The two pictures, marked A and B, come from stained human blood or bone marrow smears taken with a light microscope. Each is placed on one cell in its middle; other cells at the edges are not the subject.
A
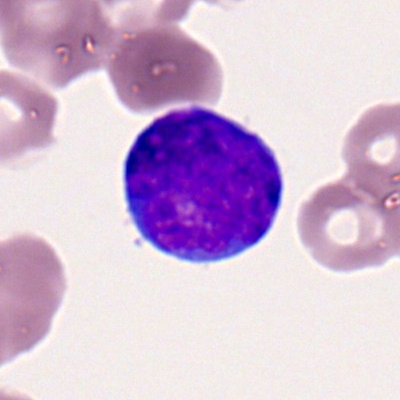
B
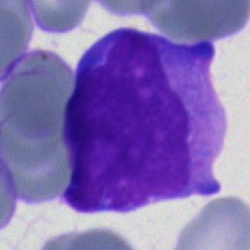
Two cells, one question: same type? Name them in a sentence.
Yes, the crops both have blasts in the middle.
